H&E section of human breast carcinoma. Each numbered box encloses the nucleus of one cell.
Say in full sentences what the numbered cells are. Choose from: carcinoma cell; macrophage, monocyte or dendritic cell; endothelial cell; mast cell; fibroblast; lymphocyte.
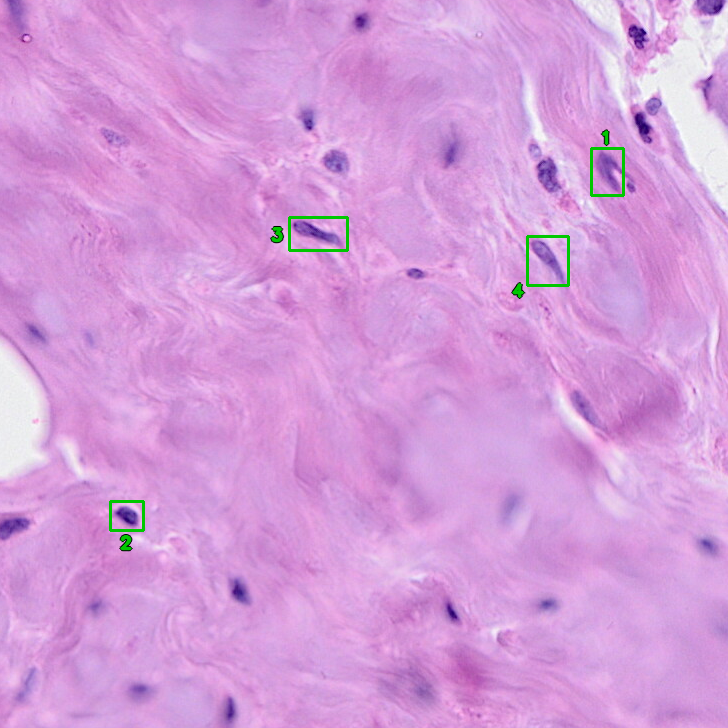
Cell 1 is a fibroblast, cell 2 is a lymphocyte, cell 3 is a fibroblast and cell 4 is a fibroblast.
